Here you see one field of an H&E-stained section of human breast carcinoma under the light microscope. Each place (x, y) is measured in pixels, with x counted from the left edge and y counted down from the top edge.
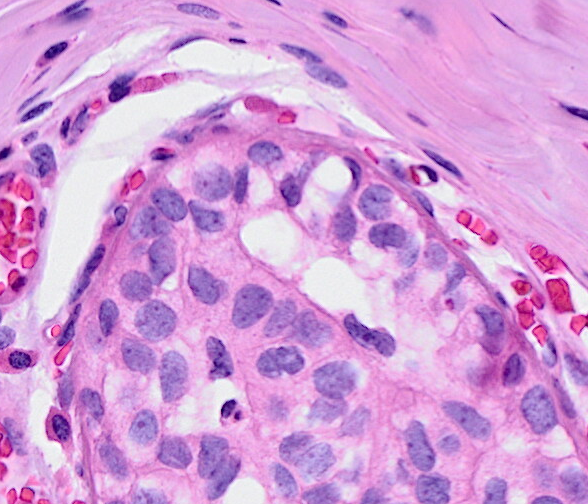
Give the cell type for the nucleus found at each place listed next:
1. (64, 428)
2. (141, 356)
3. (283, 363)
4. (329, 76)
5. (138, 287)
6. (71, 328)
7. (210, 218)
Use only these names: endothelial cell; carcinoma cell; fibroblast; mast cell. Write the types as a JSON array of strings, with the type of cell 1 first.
["mast cell", "carcinoma cell", "carcinoma cell", "fibroblast", "carcinoma cell", "endothelial cell", "carcinoma cell"]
